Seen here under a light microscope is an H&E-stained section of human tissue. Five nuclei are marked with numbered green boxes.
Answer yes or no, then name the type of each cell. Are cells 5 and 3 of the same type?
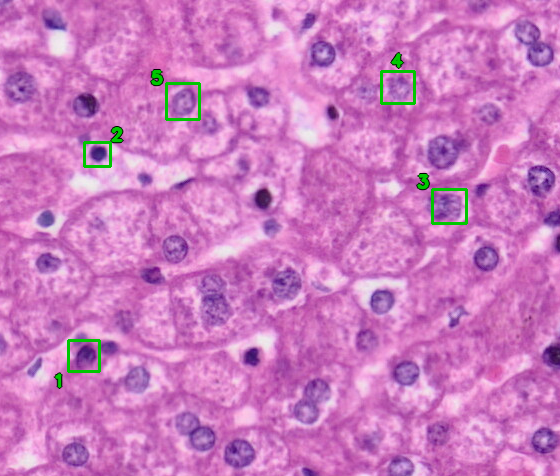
Yes, both are hepatocytes.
